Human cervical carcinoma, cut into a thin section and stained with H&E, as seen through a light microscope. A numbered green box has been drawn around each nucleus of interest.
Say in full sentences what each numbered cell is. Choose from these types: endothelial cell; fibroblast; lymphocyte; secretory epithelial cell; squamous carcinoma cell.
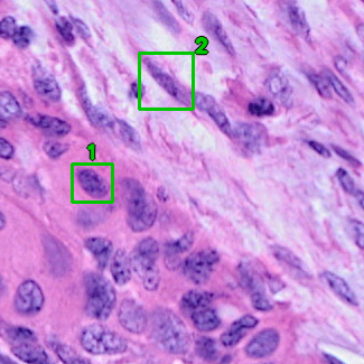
Cell 1 is a squamous carcinoma cell. Cell 2 is a fibroblast.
